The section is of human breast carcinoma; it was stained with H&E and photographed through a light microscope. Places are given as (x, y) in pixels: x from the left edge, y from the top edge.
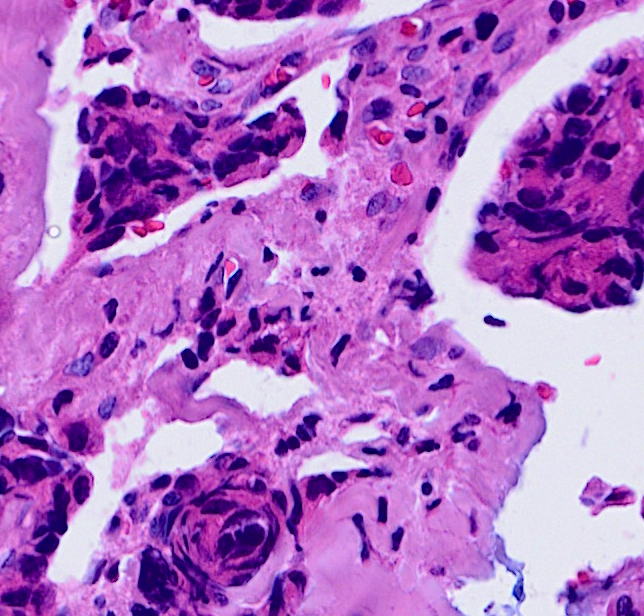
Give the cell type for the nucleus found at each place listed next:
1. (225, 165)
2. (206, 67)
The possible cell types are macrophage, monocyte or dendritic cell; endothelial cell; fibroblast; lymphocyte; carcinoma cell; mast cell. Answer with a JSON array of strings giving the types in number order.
["carcinoma cell", "endothelial cell"]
